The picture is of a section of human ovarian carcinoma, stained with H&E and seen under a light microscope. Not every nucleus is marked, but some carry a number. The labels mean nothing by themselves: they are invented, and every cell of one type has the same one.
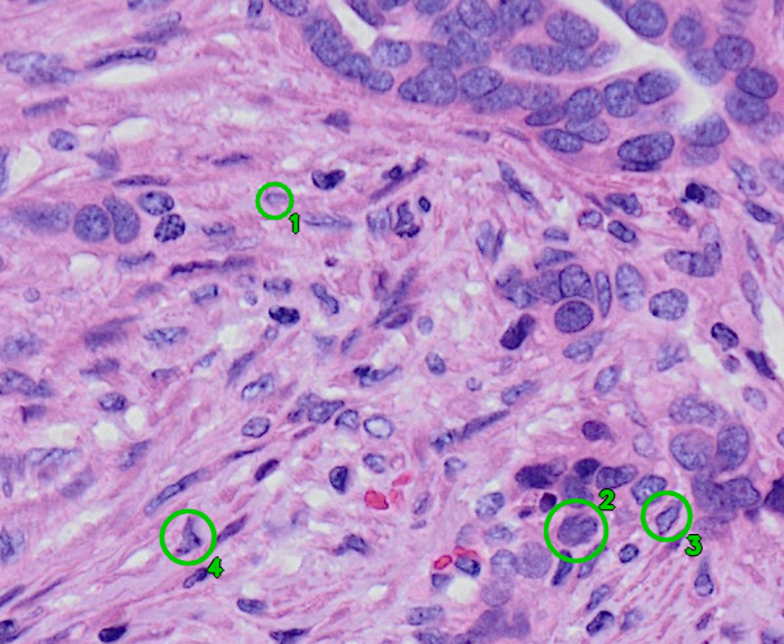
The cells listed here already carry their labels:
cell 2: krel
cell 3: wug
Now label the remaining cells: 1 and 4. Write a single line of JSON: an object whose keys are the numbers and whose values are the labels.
{"1": "wug", "4": "wug"}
